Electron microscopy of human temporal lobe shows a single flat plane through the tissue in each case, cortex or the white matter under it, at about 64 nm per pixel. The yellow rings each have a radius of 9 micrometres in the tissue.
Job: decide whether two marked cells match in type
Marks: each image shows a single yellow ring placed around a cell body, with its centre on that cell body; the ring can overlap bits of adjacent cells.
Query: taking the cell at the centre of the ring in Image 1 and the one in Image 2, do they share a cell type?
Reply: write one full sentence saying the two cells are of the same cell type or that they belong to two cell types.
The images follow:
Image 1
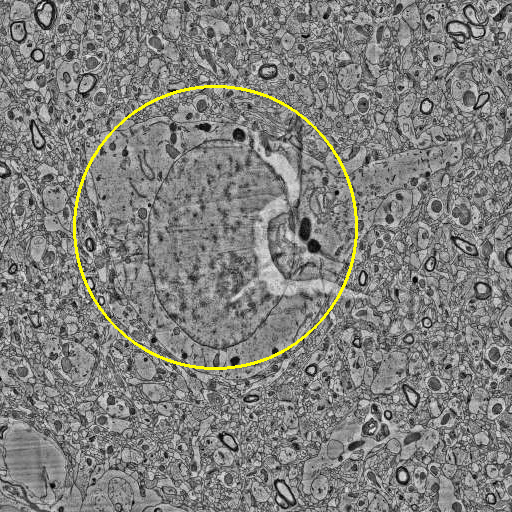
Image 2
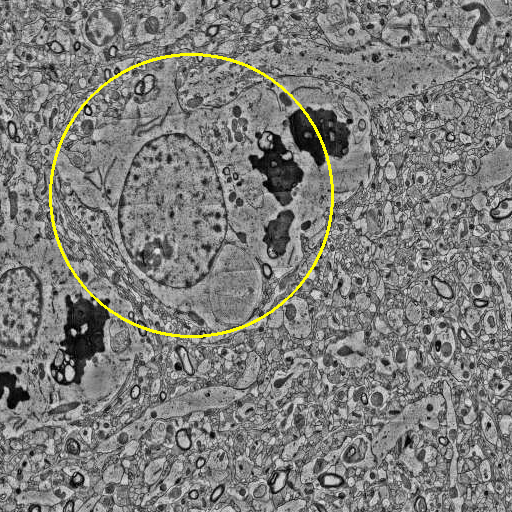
The cells at the ring centres in Image 1 and Image 2 belong to two cell types.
